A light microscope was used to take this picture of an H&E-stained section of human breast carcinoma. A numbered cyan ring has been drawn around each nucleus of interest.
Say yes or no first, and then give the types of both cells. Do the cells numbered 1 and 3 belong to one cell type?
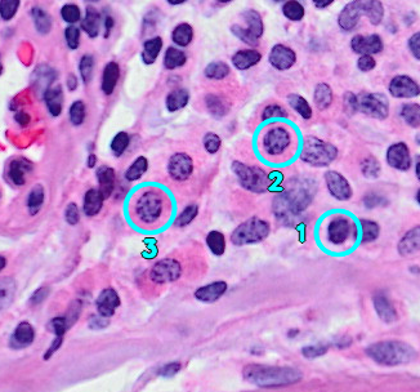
No, the cell tagged 1 is a lymphocyte, whereas the cell tagged 3 is a mast cell.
